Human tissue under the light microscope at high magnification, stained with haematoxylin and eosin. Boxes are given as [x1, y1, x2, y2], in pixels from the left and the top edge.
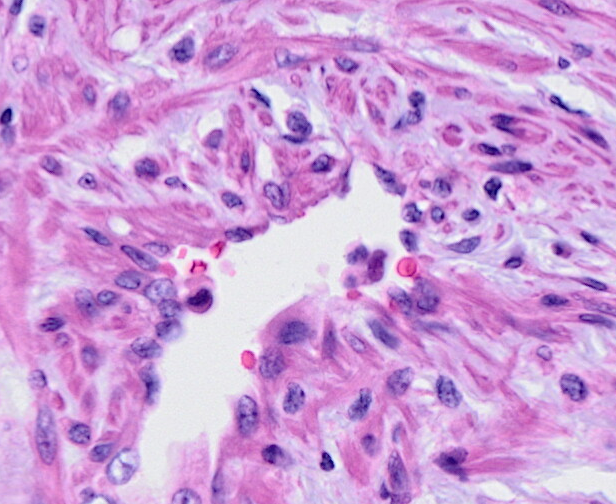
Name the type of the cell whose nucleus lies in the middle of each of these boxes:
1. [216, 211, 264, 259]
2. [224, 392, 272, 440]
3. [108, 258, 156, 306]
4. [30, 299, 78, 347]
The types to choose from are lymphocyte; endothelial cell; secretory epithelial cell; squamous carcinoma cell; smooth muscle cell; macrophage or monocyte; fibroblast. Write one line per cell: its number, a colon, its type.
1: endothelial cell
2: endothelial cell
3: endothelial cell
4: smooth muscle cell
